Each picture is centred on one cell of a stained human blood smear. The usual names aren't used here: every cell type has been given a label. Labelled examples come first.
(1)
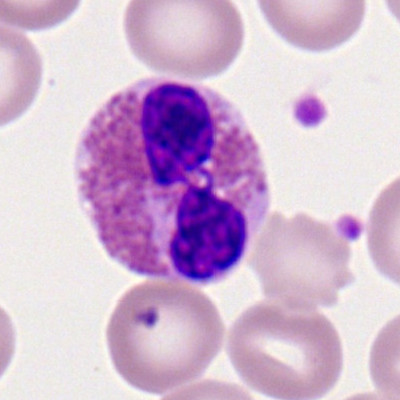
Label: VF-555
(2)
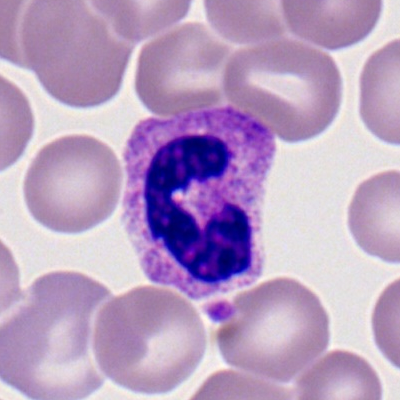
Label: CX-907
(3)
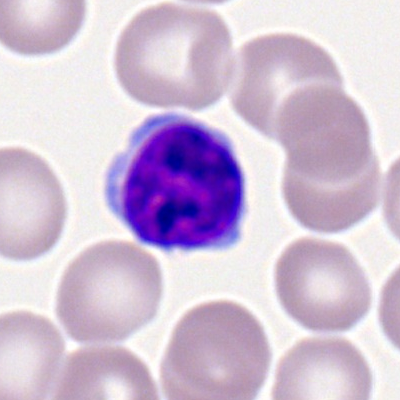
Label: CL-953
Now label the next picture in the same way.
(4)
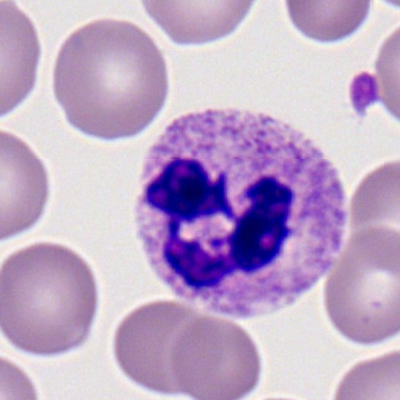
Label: CX-907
